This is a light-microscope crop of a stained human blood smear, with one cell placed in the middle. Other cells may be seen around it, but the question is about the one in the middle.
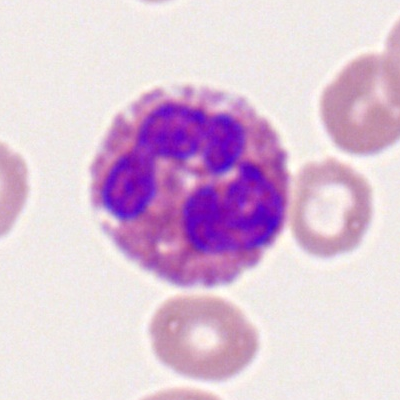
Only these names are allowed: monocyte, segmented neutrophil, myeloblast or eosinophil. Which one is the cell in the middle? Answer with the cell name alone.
eosinophil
